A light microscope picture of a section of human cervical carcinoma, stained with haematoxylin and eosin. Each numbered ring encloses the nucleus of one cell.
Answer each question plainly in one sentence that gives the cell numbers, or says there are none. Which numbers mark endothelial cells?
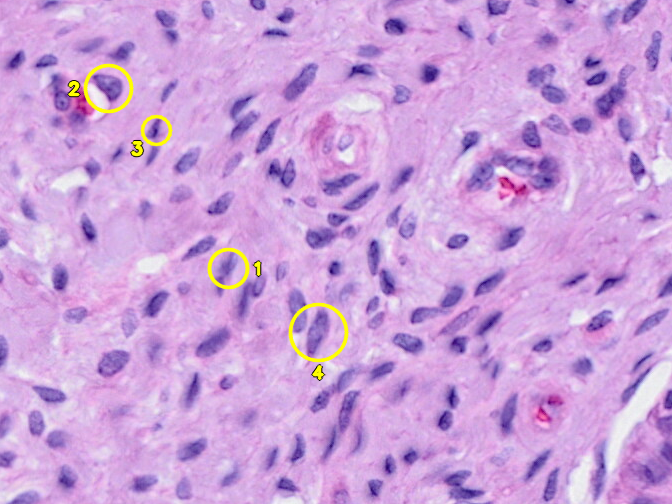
Among the marked cells, an endothelial cell is found only at number 2.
